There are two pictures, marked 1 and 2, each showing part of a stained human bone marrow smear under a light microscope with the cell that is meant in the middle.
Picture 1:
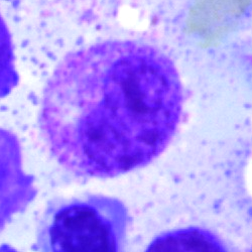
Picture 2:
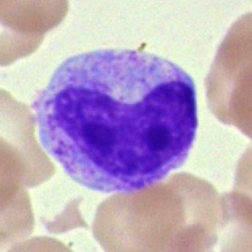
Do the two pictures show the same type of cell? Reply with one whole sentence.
No; the cell in picture 1 is a myelocyte, while the one in picture 2 is a metamyelocyte.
